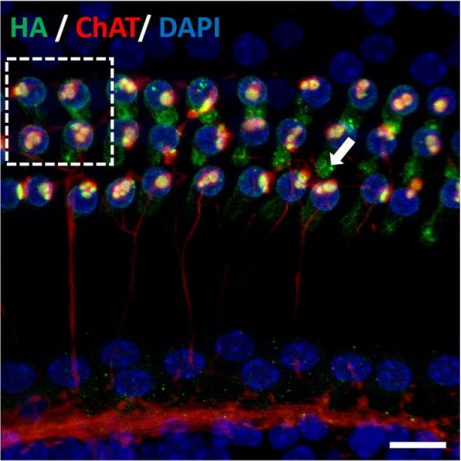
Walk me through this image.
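This is a surface view of the organ of Corti, with three regular rows of outer hair cells in the upper half and a single row of inner hair cells lower down, all marked by round blue nuclei. At one side of each outer hair cell sits a compact red cluster that overlaps green to appear yellow, and fine green puncta are scattered in the cell bodies. Thin red fibres run straight across the gap from the inner hair cell region toward the outer rows. Beneath the inner hair cell row lies a dense band of red fibres.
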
